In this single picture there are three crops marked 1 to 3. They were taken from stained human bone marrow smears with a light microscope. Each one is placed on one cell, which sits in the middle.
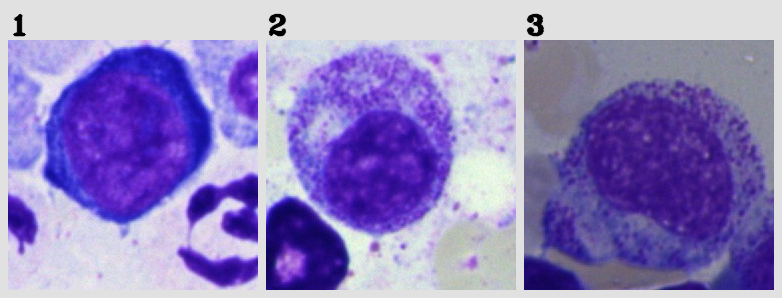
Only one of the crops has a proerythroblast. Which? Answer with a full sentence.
It is in crop 1 that a proerythroblast is shown.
